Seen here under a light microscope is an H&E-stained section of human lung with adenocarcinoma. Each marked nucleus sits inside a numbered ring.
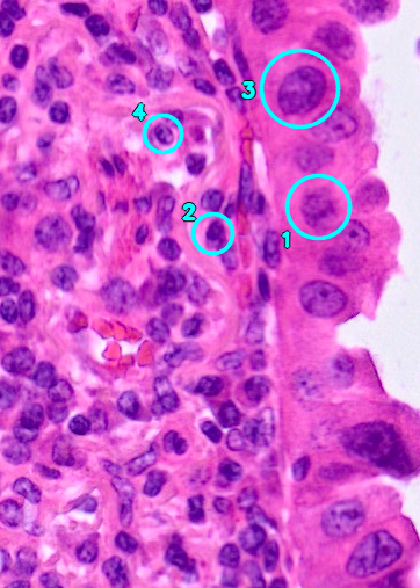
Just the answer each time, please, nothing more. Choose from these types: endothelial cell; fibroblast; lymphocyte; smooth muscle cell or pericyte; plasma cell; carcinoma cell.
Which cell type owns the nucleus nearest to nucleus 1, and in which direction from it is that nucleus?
a carcinoma cell; below and to the right of nucleus 1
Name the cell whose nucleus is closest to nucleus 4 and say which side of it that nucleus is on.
a plasma cell above and to the right of nucleus 4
